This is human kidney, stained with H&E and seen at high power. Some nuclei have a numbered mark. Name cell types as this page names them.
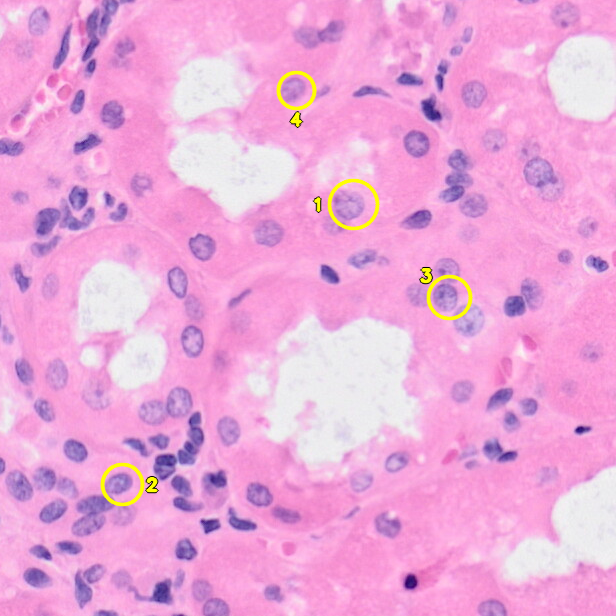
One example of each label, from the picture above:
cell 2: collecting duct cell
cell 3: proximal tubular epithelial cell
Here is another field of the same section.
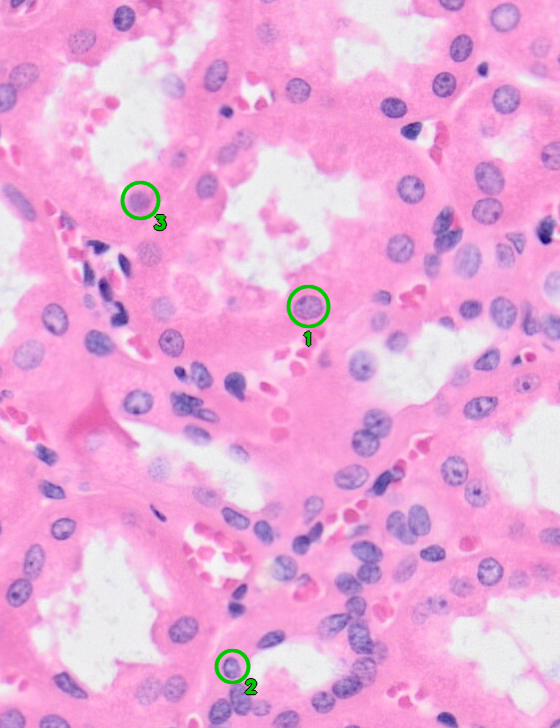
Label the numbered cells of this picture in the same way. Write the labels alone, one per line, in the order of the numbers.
proximal tubular epithelial cell
collecting duct cell
proximal tubular epithelial cell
